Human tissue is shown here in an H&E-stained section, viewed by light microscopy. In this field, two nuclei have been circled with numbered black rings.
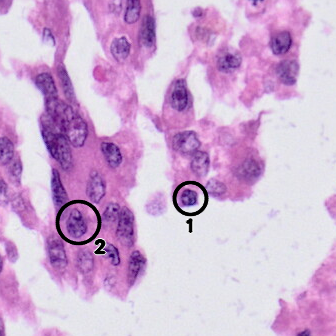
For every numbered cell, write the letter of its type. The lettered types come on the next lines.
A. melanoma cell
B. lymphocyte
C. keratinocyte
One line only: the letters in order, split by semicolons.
B; A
